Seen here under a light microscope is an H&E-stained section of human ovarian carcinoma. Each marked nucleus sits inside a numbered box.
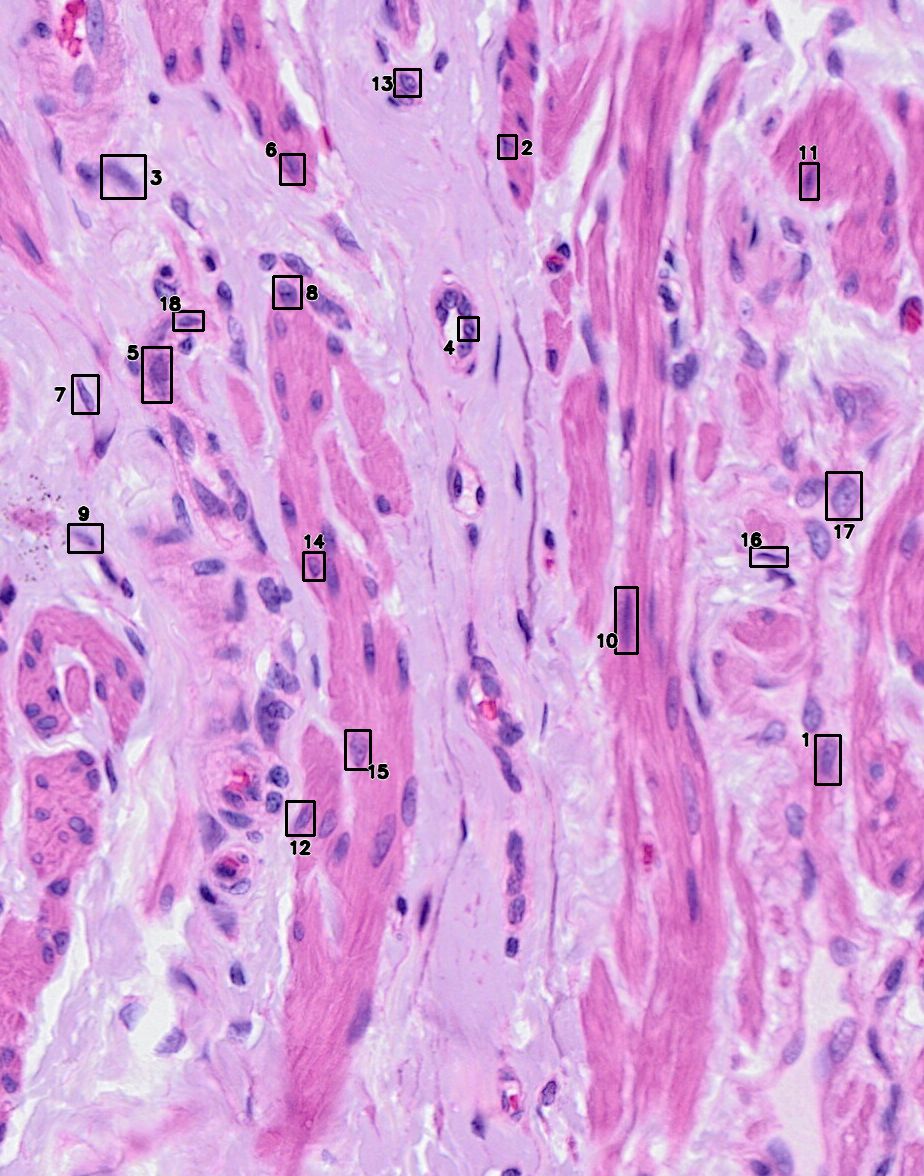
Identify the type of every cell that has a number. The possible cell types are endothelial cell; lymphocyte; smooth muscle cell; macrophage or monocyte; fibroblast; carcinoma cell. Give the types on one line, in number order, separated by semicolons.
smooth muscle cell; smooth muscle cell; fibroblast; endothelial cell; endothelial cell; smooth muscle cell; fibroblast; smooth muscle cell; fibroblast; smooth muscle cell; smooth muscle cell; smooth muscle cell; endothelial cell; smooth muscle cell; smooth muscle cell; fibroblast; endothelial cell; endothelial cell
